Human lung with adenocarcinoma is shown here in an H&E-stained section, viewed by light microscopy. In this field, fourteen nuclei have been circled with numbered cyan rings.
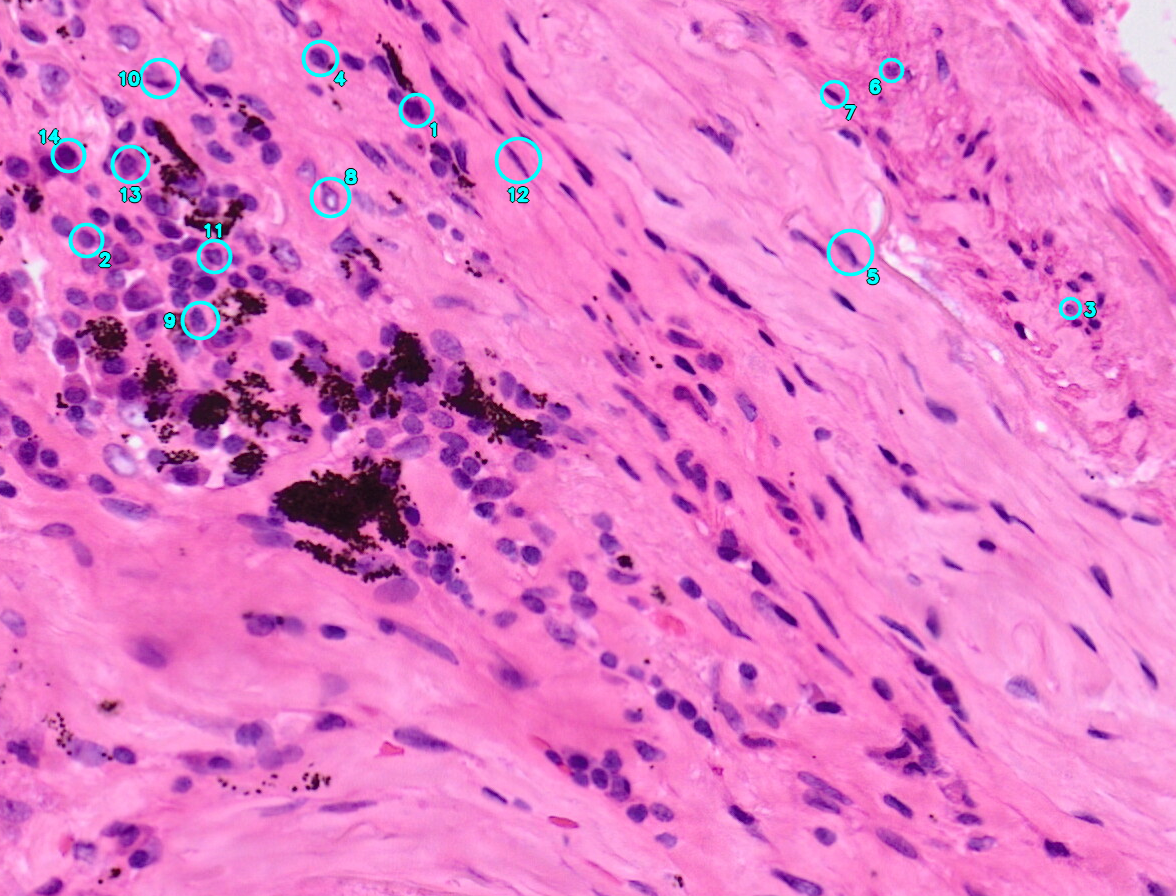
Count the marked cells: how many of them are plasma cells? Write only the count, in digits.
4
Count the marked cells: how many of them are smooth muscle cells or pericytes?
3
